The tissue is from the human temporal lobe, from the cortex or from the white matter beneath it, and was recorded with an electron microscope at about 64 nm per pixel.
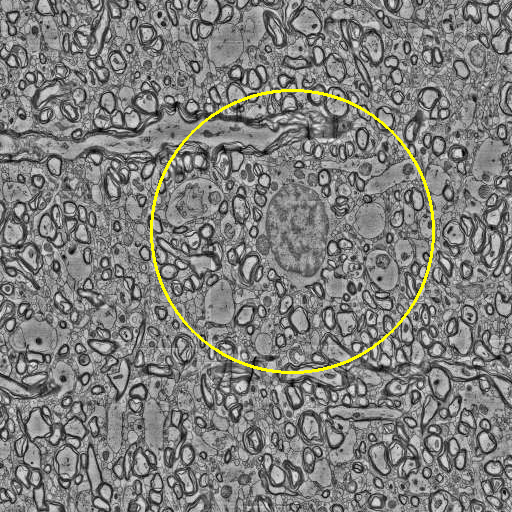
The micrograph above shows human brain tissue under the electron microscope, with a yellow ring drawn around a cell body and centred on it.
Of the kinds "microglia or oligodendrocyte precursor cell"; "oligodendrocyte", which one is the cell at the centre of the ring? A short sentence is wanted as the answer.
The one at the centre of the ring is an oligodendrocyte.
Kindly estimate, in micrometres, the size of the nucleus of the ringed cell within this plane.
The ringed cell's nucleus is about 6 micrometres long and 4 micrometres wide in this plane.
